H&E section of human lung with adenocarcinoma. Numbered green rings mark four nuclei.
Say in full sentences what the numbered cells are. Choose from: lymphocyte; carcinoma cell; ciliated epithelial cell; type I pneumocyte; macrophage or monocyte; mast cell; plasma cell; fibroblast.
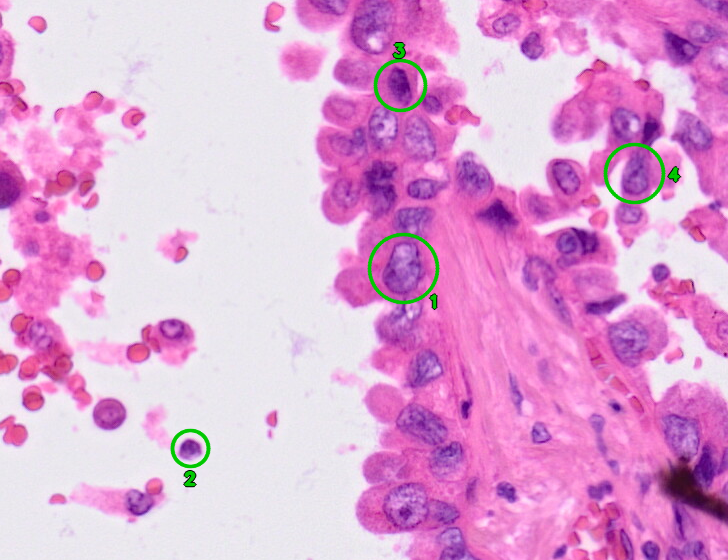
Cells 1, 3 and 4 are carcinoma cells. Cell 2 is a lymphocyte.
